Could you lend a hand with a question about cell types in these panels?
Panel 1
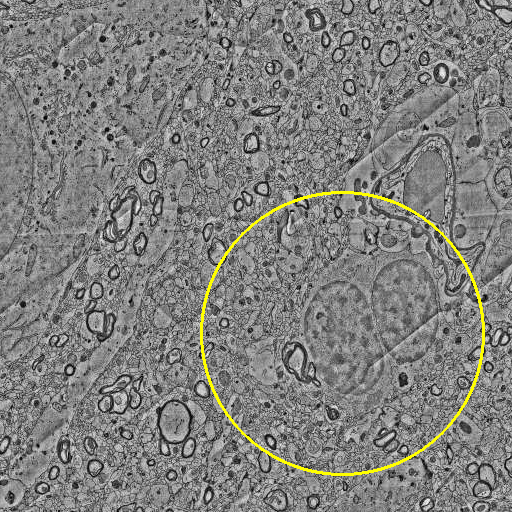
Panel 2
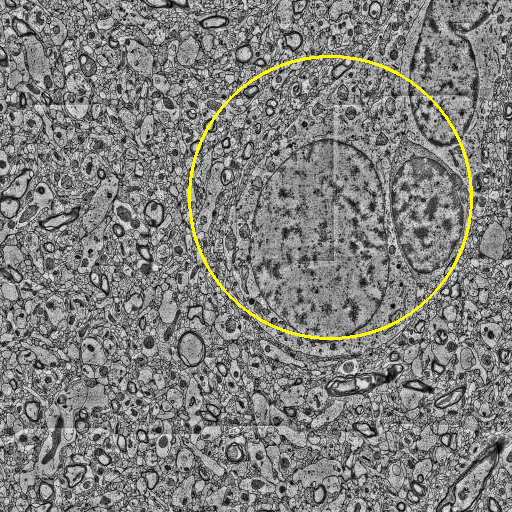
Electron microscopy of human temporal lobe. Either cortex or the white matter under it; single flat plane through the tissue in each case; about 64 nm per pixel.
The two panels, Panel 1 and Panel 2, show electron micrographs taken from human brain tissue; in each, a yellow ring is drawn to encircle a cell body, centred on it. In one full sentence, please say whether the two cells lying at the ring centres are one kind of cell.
No, the cells at the ring centres in the two panels are two kinds of cell.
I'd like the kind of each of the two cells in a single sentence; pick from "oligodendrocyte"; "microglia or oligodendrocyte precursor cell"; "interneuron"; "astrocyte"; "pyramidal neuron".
The first ring marks an oligodendrocyte, and the second ring marks a pyramidal neuron.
